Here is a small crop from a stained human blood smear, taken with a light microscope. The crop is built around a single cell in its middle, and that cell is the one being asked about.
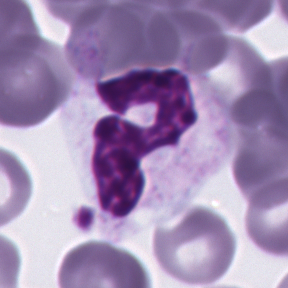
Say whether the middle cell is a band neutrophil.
no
